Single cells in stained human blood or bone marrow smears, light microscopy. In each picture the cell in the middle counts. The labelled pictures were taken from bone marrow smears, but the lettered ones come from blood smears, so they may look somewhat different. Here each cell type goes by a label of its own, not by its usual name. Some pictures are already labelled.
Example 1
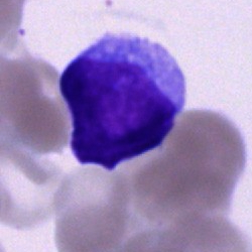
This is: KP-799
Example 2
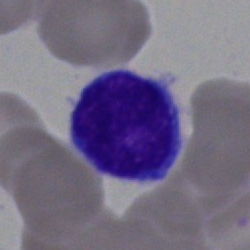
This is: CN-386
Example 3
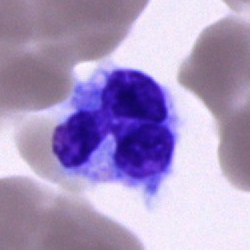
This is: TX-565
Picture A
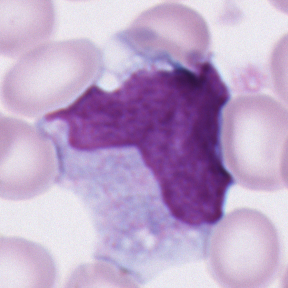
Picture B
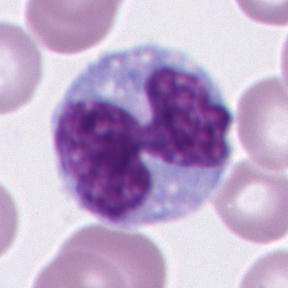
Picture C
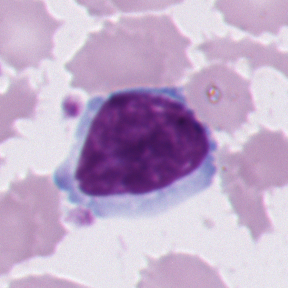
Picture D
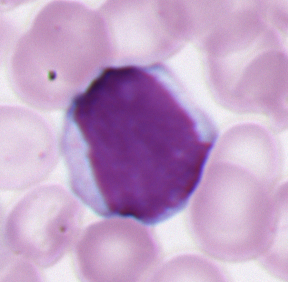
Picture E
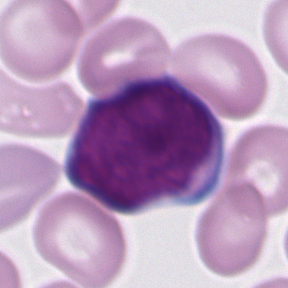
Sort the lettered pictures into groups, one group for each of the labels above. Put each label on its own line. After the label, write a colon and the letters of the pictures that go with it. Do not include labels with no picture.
KP-799: E
CN-386: C, D
TX-565: A, B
